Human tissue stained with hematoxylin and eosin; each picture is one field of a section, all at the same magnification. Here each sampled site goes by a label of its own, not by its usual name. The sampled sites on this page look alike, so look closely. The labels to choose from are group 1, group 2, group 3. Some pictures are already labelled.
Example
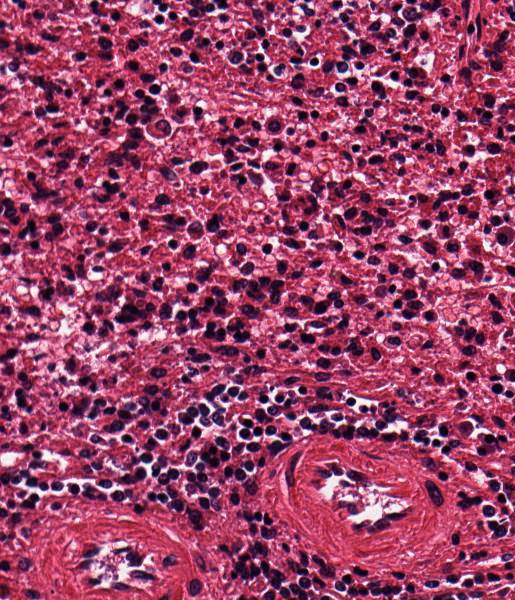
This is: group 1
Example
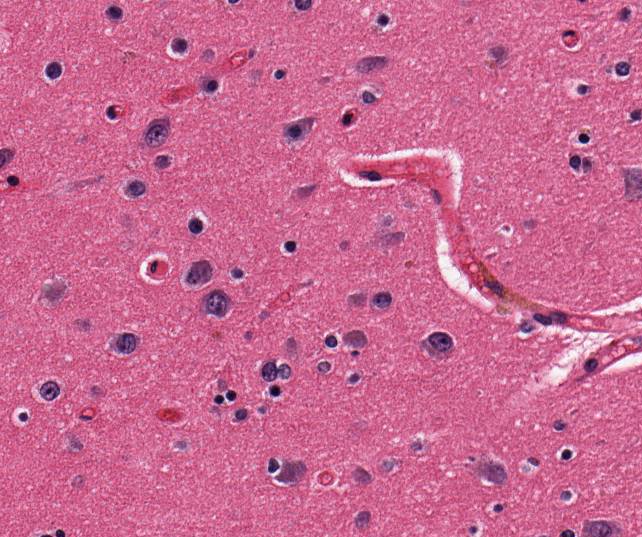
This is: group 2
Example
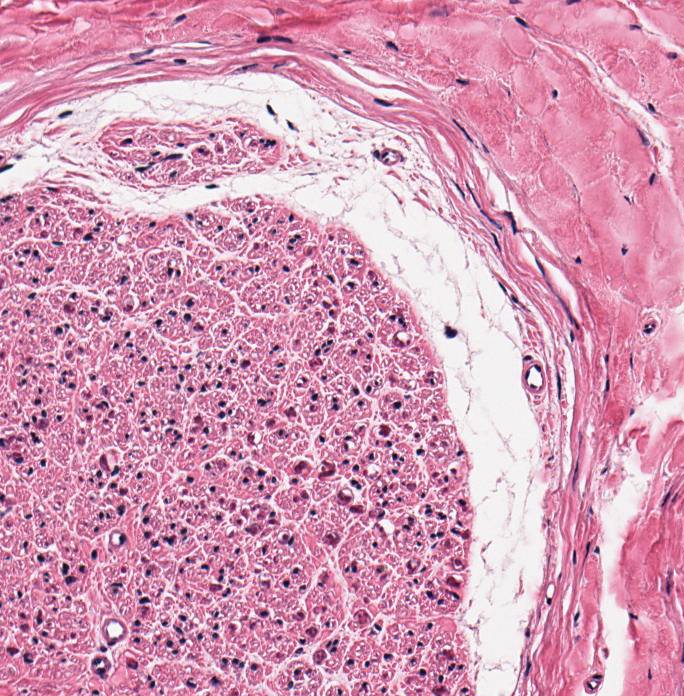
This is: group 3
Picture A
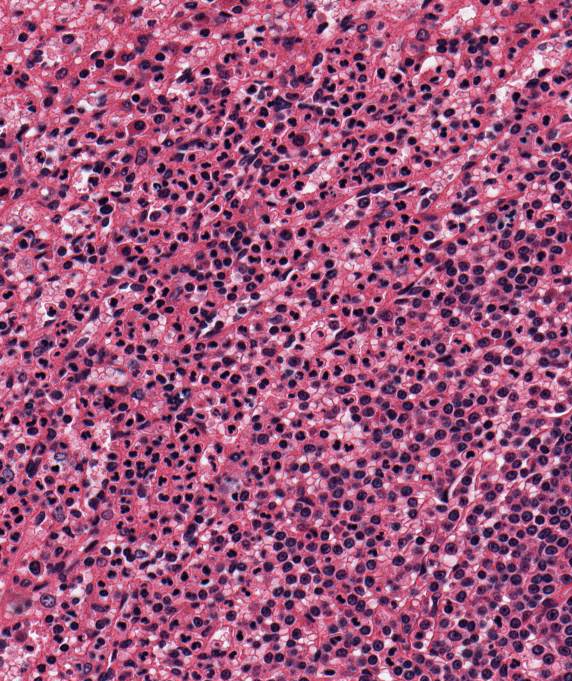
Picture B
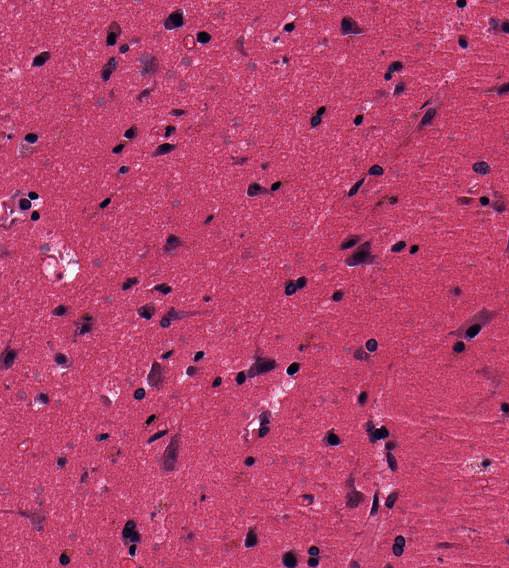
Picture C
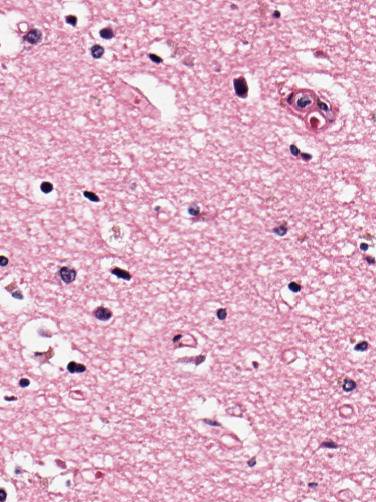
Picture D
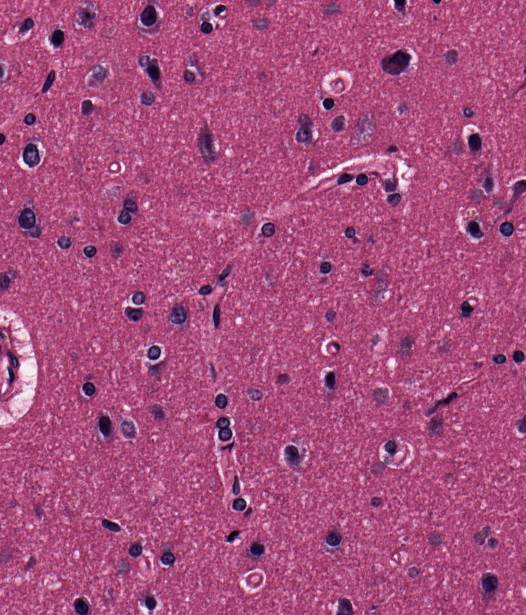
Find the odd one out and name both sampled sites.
A differs and shows group 1; the others show group 2.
